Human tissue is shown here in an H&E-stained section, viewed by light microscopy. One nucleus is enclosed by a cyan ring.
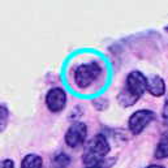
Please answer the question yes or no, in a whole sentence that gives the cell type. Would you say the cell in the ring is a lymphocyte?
Yes, and to confirm, the cell in the ring is a lymphocyte.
